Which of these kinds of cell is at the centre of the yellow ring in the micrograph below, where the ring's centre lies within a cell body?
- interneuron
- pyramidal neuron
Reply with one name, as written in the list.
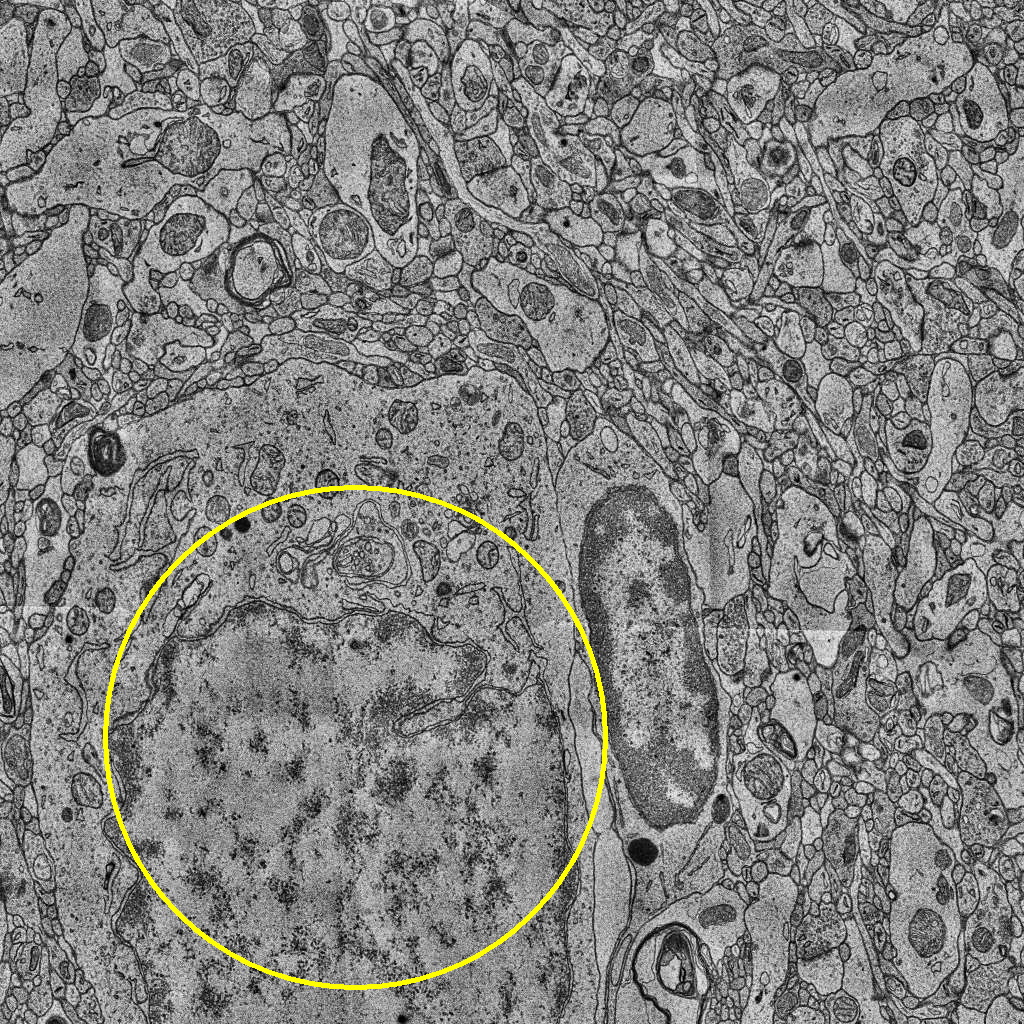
interneuron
